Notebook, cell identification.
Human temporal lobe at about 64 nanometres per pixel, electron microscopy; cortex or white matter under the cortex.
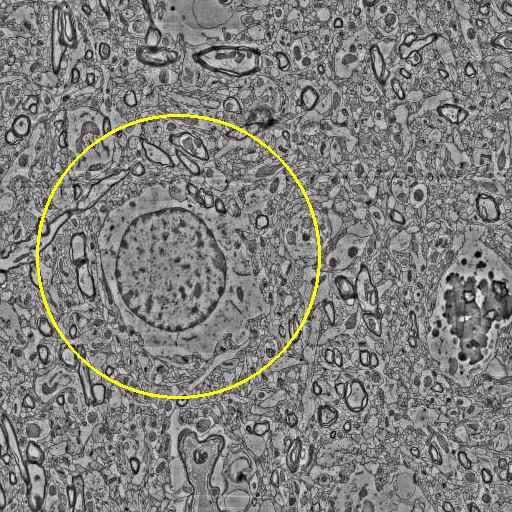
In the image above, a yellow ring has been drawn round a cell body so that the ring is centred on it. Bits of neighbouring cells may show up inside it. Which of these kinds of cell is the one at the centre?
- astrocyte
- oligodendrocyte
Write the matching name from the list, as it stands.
astrocyte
